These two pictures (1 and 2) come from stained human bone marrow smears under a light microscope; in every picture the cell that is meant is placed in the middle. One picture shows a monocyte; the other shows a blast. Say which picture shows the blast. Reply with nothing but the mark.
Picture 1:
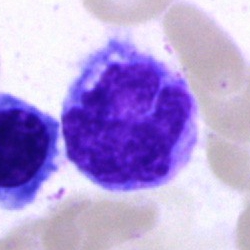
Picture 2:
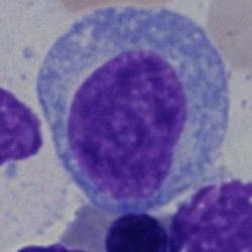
2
